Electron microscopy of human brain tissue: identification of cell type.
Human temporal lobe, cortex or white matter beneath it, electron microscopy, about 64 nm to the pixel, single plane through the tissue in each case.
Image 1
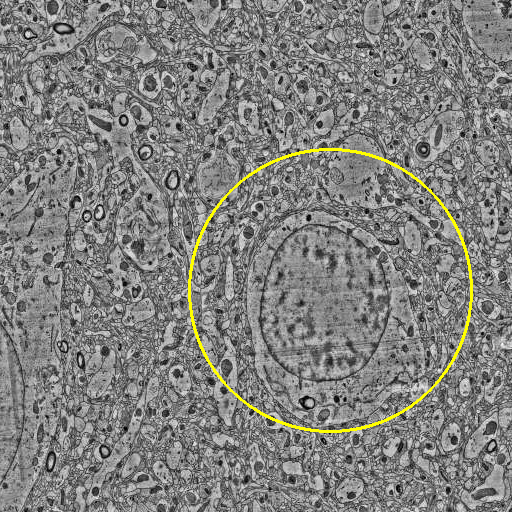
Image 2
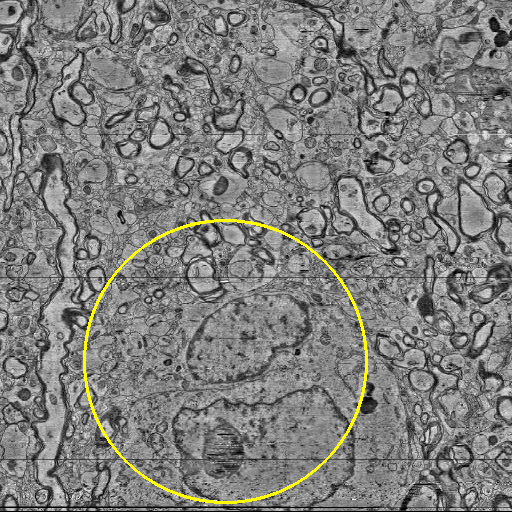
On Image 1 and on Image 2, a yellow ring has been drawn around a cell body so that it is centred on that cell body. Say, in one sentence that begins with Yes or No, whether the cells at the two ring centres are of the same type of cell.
No, the two cells are two separate types of cell.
